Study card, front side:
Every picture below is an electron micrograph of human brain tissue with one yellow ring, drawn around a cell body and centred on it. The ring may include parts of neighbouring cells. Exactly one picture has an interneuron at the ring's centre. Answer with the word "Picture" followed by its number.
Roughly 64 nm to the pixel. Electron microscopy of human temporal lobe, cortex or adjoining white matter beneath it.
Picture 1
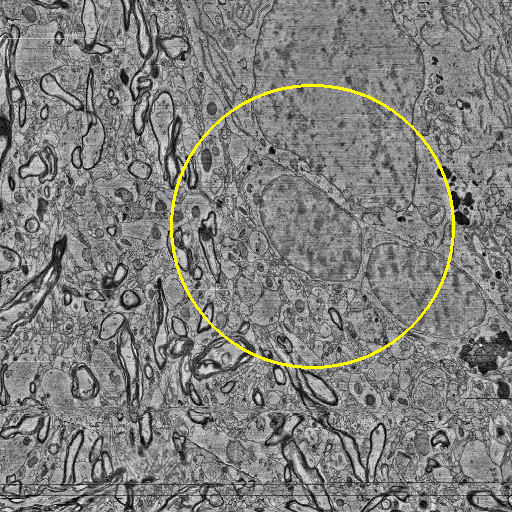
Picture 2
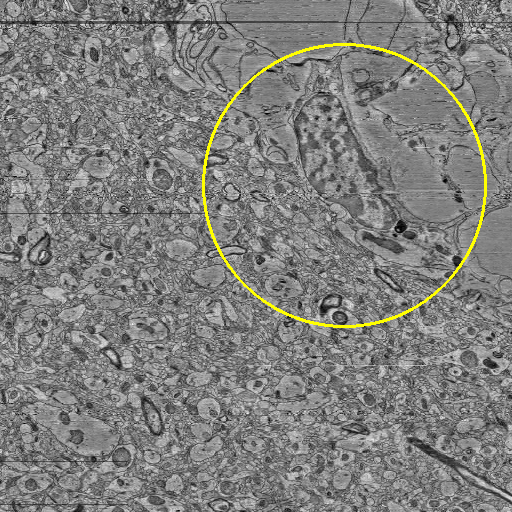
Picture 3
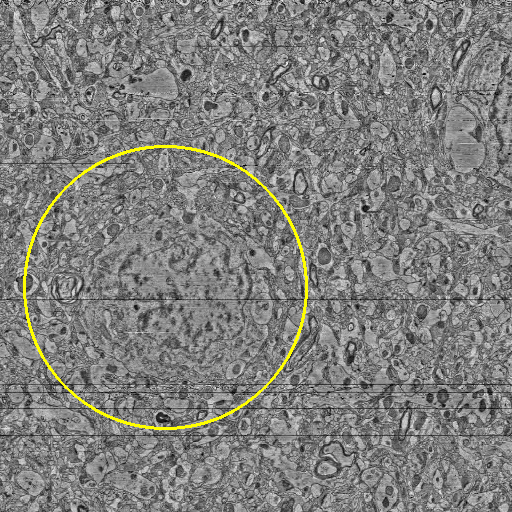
Picture 3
